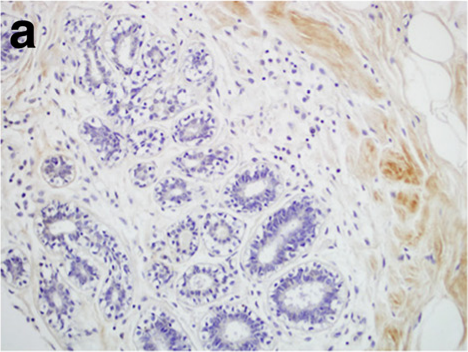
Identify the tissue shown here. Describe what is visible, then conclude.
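Small rounded ducts and acini with central lumens clustered in lobules. Each gland lined by an orderly epithelial layer with blue nuclei. Loose stroma between glands and fat cells at the upper right corner.
Normal breast tissues.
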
